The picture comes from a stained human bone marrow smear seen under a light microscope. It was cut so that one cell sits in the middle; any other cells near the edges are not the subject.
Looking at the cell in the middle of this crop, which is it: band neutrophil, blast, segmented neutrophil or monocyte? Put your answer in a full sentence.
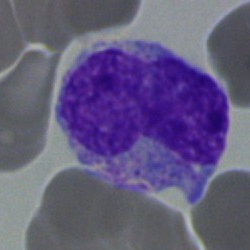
As for the central cell, it is a monocyte.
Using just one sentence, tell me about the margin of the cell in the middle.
The edge is uneven, and this unevenness takes the form of ragged stretches or projections.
